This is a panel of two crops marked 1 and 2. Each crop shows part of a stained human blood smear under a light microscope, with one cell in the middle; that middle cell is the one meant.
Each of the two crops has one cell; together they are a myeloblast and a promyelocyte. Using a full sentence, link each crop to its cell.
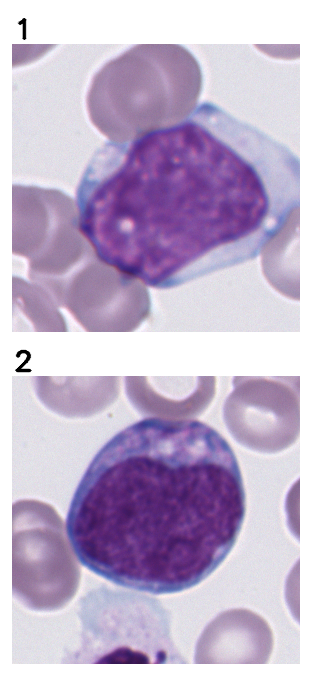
Crop 1 represents a myeloblast, while crop 2 represents a promyelocyte.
